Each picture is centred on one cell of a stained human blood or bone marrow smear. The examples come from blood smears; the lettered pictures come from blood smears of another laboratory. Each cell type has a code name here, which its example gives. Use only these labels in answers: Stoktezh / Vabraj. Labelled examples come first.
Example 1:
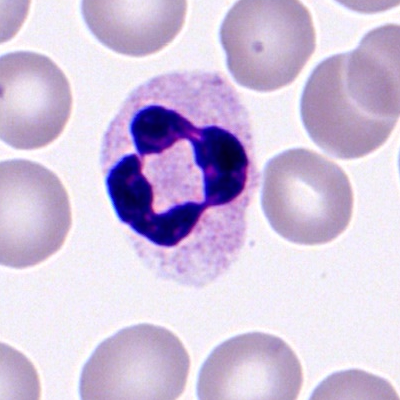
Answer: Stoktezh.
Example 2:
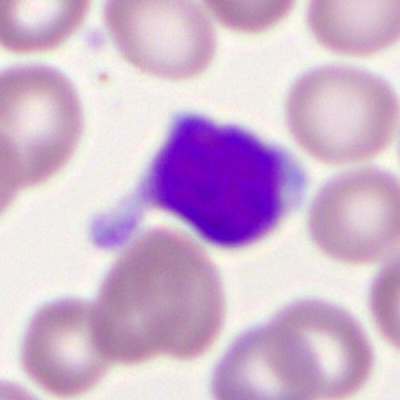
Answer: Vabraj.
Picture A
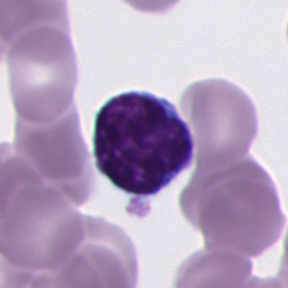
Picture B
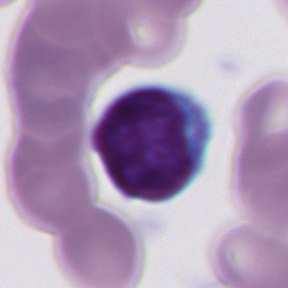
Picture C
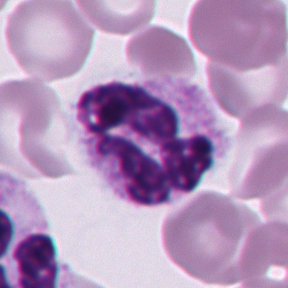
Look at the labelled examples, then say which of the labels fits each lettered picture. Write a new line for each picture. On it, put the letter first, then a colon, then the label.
A: Vabraj.
B: Vabraj.
C: Stoktezh.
